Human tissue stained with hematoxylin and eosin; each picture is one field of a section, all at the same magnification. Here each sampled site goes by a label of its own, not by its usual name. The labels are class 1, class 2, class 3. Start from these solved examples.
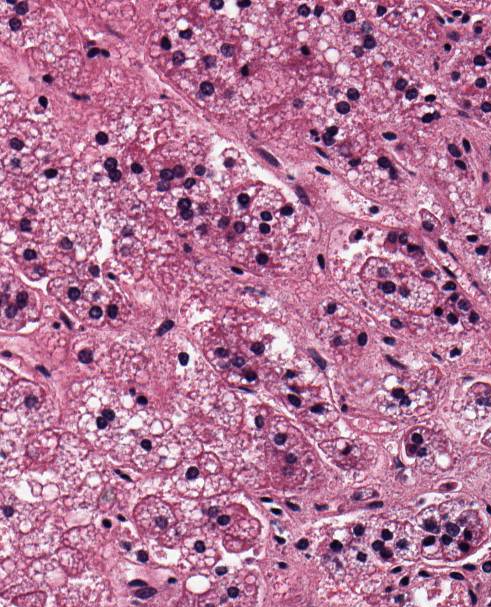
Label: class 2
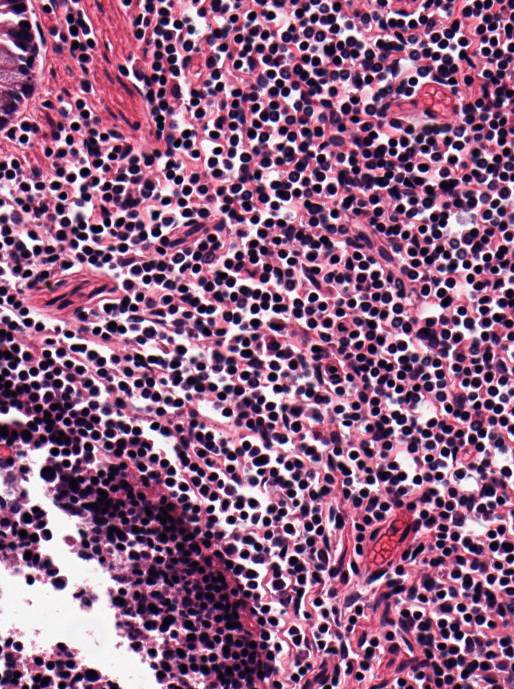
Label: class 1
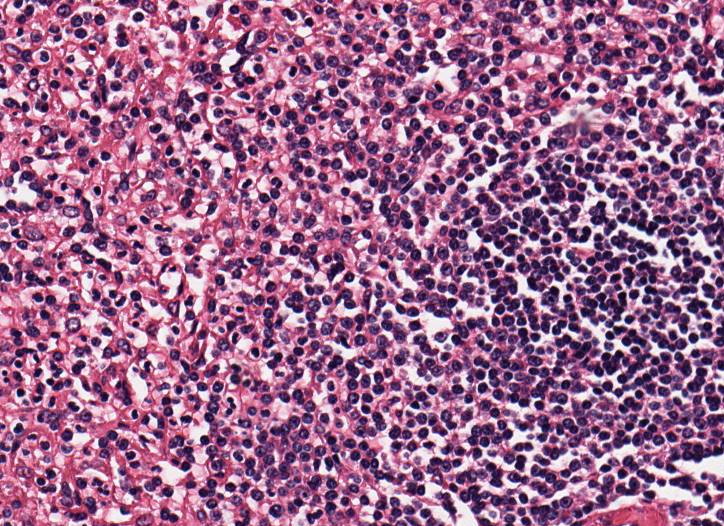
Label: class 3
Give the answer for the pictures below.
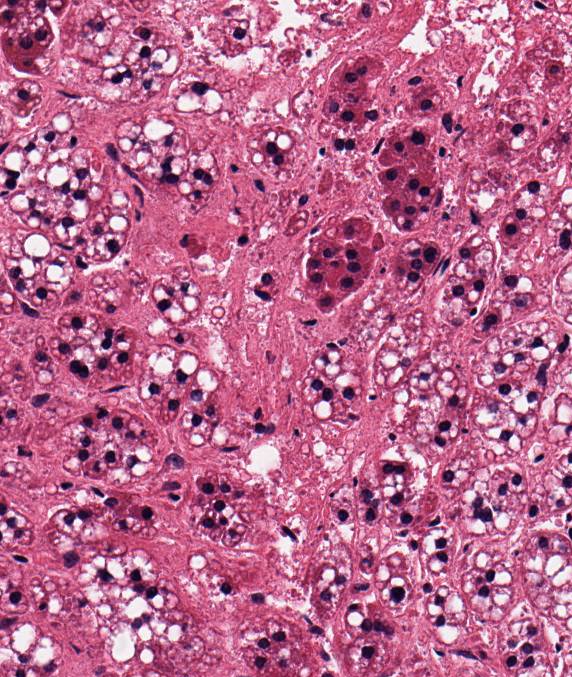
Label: class 2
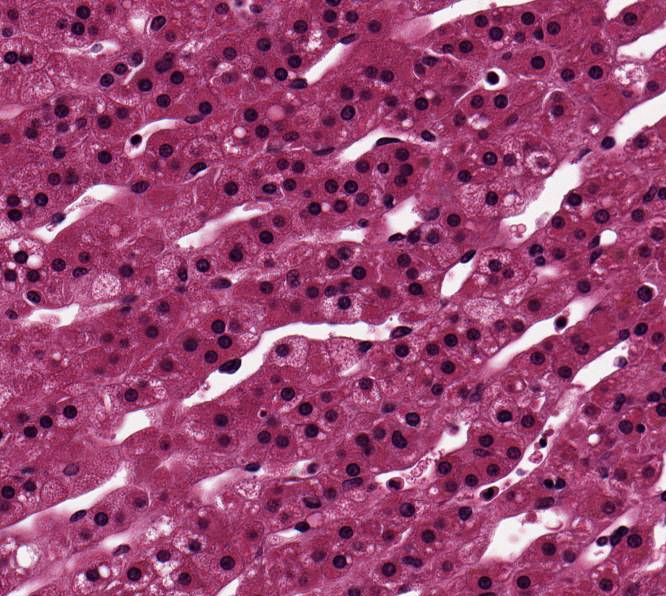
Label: class 2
